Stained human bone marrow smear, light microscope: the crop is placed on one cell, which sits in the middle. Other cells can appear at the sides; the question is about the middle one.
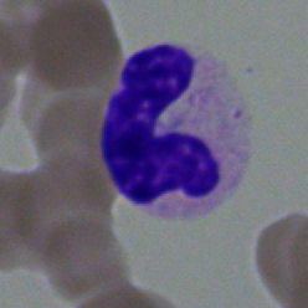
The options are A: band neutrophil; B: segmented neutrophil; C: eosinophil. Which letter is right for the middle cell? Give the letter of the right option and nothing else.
A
